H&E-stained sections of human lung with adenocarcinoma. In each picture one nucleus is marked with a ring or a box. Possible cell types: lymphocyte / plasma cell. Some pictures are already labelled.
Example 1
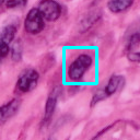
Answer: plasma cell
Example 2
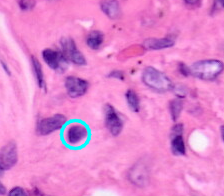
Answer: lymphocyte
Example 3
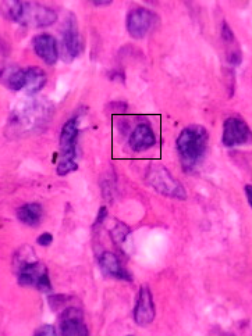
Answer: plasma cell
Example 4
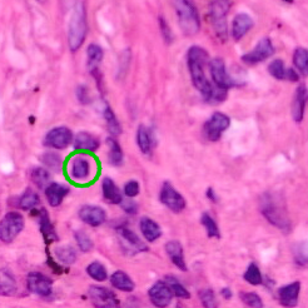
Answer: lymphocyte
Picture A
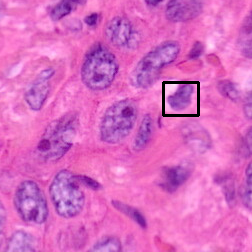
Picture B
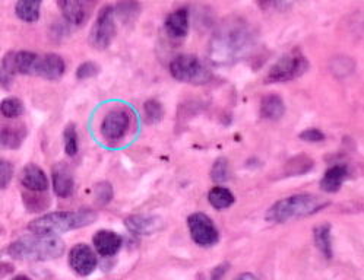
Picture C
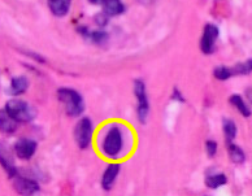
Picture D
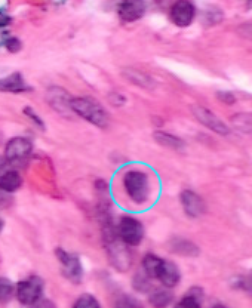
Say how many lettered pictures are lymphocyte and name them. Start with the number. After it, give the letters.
Count: 3 (A, C, D)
